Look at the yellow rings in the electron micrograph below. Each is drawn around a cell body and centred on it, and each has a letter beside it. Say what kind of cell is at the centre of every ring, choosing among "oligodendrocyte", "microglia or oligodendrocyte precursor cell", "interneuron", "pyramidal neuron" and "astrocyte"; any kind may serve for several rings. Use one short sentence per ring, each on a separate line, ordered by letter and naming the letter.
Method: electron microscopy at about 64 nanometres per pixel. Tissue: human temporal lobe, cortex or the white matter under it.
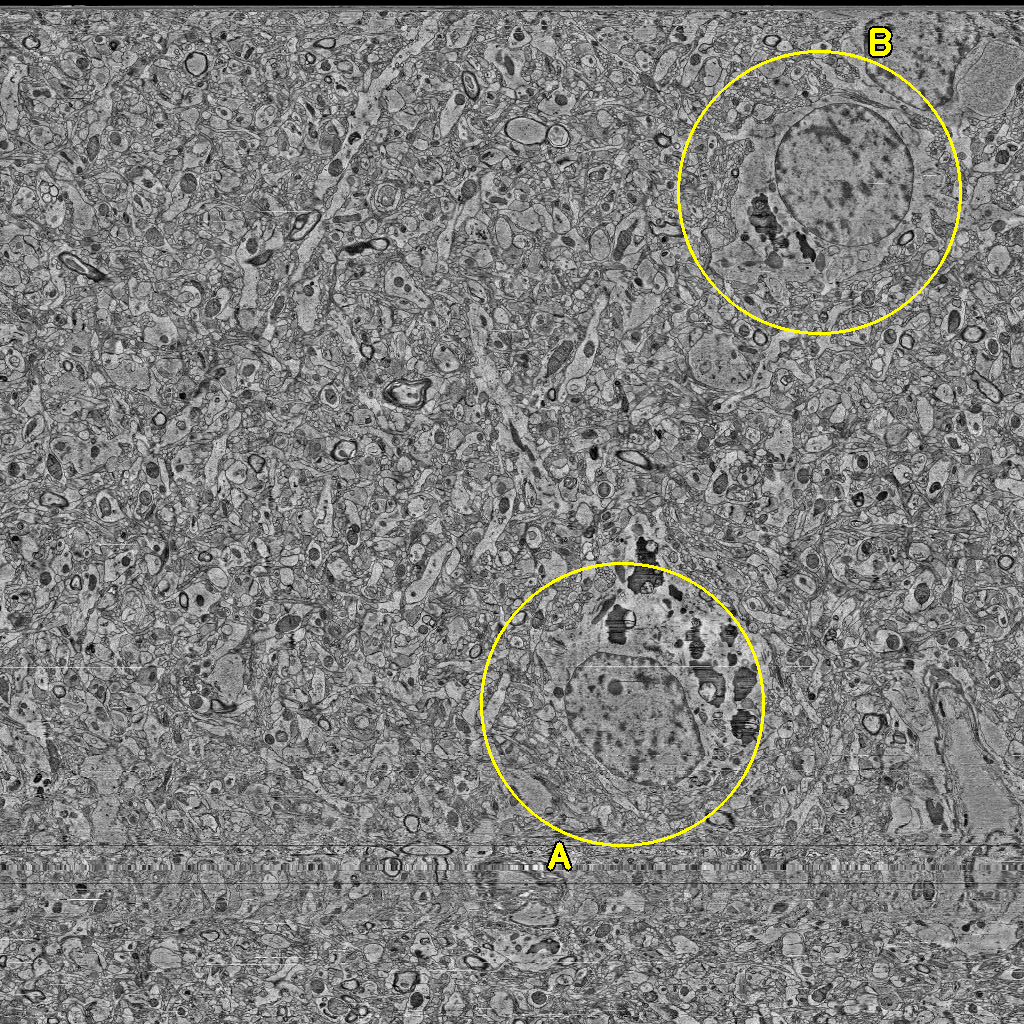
Ring A encircles an astrocyte.
Ring B encircles an astrocyte.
